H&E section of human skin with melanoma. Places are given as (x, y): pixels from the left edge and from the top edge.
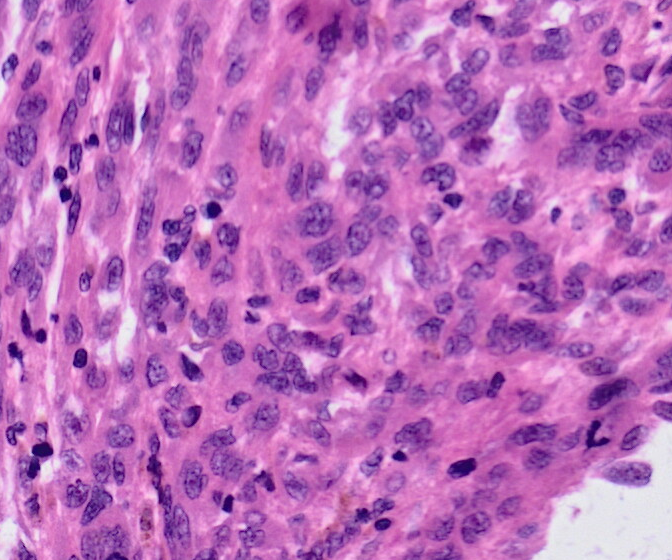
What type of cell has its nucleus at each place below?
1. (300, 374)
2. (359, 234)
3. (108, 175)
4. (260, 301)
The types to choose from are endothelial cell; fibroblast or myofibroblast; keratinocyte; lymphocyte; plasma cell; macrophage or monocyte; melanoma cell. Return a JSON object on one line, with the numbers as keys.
{"1": "melanoma cell", "2": "melanoma cell", "3": "melanoma cell", "4": "lymphocyte"}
